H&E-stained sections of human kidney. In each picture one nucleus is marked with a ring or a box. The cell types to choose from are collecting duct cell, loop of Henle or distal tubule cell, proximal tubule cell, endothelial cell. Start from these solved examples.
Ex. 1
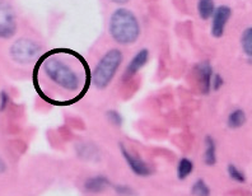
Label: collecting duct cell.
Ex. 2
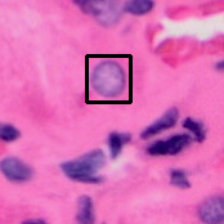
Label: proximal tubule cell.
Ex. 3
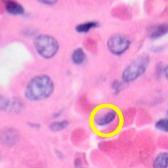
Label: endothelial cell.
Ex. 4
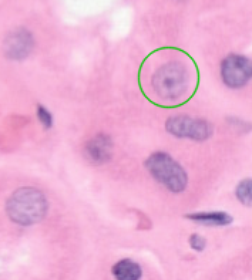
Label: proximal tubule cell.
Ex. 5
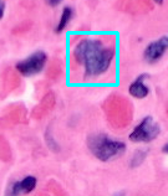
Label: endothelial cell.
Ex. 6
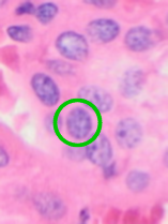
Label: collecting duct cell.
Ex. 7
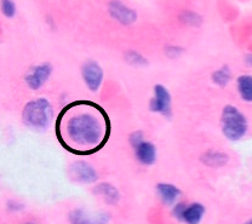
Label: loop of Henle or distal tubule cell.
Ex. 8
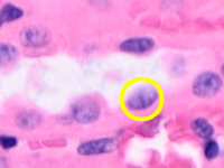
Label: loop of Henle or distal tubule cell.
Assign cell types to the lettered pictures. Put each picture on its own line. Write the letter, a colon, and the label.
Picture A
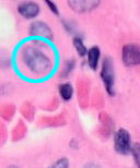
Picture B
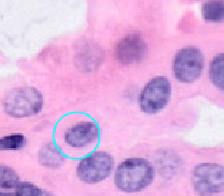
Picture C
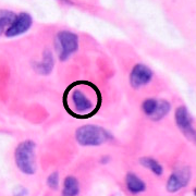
A: collecting duct cell.
B: collecting duct cell.
C: endothelial cell.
